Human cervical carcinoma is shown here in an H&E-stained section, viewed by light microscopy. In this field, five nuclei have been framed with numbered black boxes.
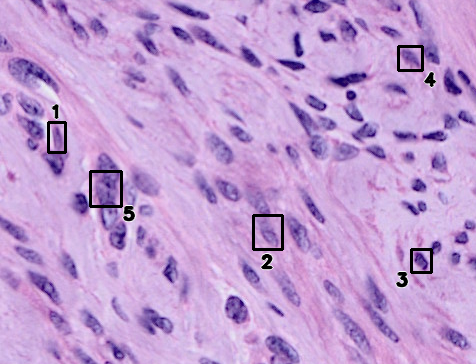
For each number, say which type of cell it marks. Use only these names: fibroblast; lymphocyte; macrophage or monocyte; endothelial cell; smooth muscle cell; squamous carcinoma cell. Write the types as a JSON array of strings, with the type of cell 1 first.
["endothelial cell", "smooth muscle cell", "smooth muscle cell", "smooth muscle cell", "endothelial cell"]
